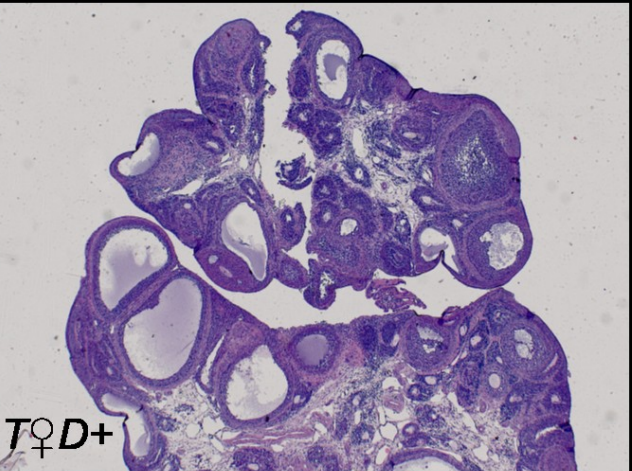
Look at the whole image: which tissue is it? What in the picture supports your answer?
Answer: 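Numerous small round follicles with dark-staining cell layers. Several larger follicles with clear fluid-filled cavities. A loose pale stroma in the centre.
Hence: ovaries.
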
